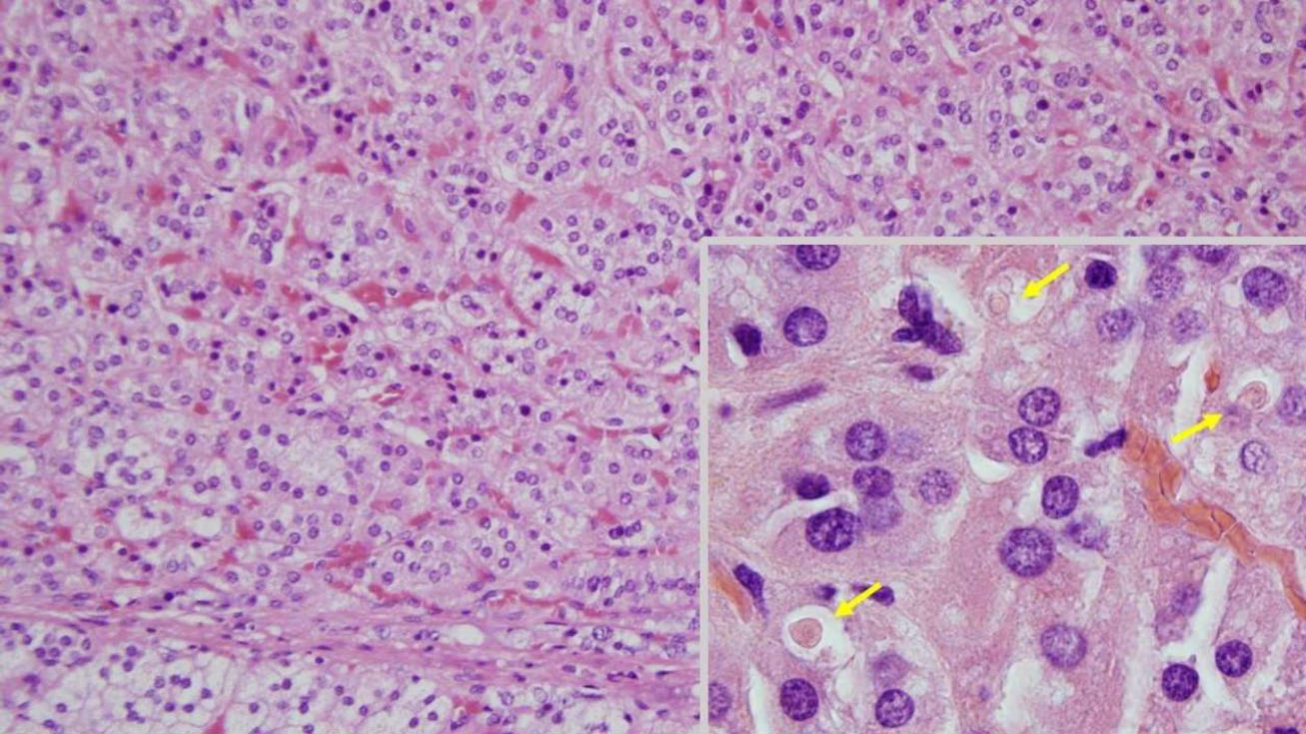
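The tumour cells have round, centrally placed nuclei of similar size and pale pink, finely granular cytoplasm. Many thin vascular channels filled with red blood cells run between the cords, so the tissue is richly vascularised. Along the bottom, beyond a thin fibrous band, the adjacent normal cells have clear, bubbly cytoplasm that looks much paler than that of the tumour cells. In the high-power inset, several cells hold small round pink inclusions, each surrounded by a clear halo.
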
